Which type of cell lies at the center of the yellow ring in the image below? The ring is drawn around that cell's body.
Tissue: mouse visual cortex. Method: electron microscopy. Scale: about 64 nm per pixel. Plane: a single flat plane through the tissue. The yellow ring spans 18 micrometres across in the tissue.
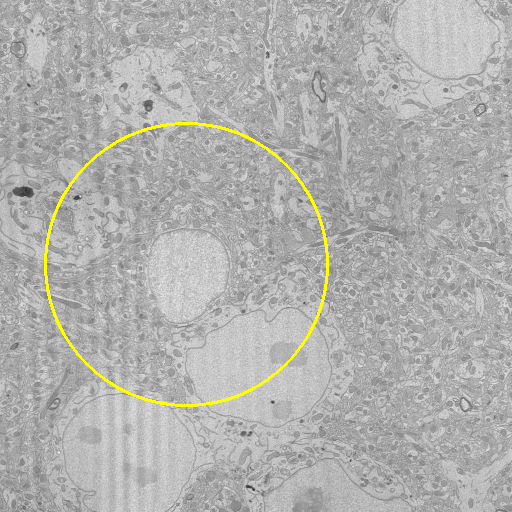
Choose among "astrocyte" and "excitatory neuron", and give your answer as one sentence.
The cell body at the center belongs to an astrocyte.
